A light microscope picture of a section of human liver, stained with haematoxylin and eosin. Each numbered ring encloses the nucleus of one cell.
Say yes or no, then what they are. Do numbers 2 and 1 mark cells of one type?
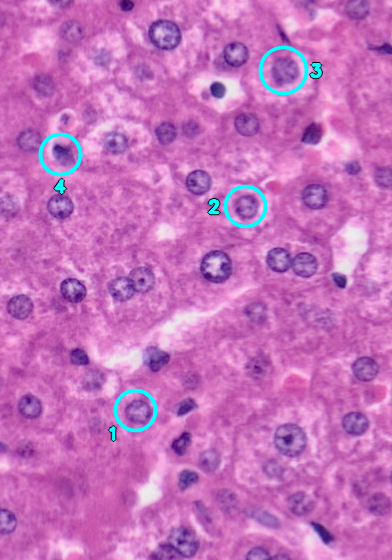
Yes, briefly put, cells 2 and 1 are both hepatocytes.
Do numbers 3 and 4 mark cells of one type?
No, that is not right: cell 3 is a hepatocyte and cell 4 is an endothelial cell.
